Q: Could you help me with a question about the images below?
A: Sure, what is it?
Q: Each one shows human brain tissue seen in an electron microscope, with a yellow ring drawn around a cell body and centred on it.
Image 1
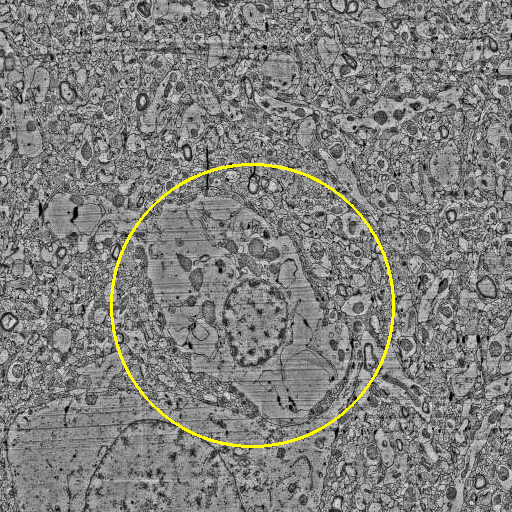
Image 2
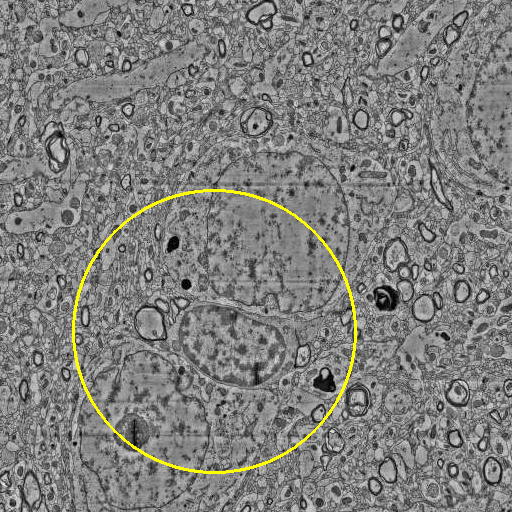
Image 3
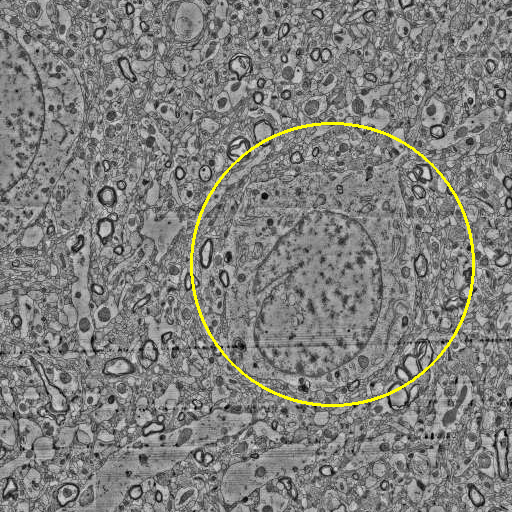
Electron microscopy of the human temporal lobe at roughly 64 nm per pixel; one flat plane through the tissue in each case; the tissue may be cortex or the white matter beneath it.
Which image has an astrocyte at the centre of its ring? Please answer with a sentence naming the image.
Image 1 has it at the centre of its ring.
